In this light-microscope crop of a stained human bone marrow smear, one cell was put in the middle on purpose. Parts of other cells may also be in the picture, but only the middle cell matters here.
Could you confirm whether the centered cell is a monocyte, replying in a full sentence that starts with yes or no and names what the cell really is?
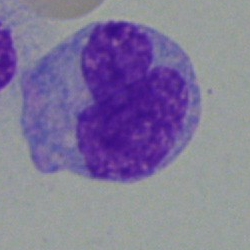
Yes, in the middle of the crop is a monocyte.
